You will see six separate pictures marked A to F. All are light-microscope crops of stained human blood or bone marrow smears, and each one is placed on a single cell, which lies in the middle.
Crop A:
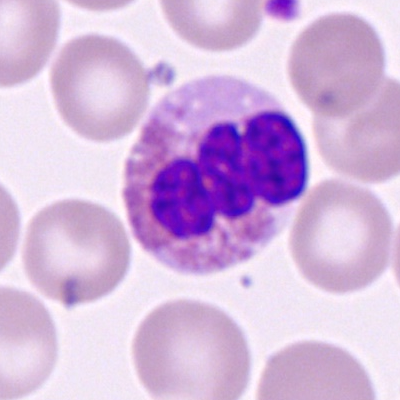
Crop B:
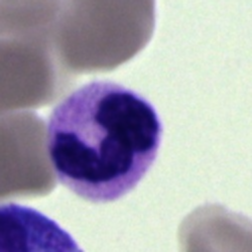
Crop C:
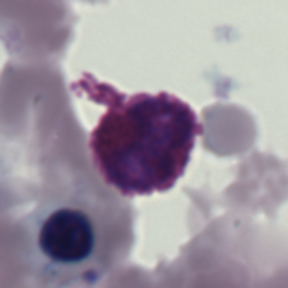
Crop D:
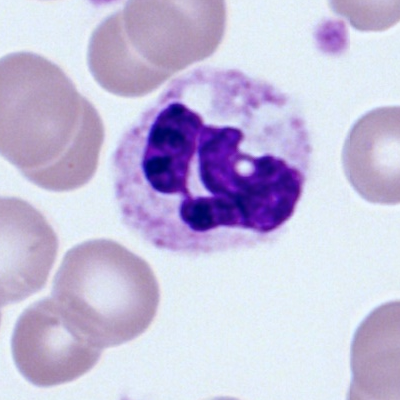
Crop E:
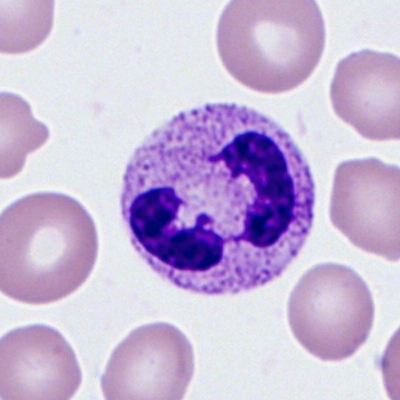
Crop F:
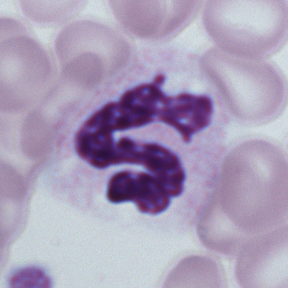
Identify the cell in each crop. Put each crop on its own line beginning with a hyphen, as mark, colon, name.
- A: eosinophil
- B: segmented neutrophil
- C: eosinophil
- D: segmented neutrophil
- E: segmented neutrophil
- F: segmented neutrophil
